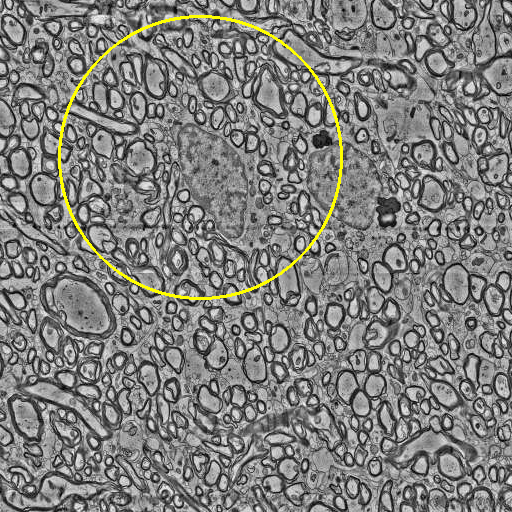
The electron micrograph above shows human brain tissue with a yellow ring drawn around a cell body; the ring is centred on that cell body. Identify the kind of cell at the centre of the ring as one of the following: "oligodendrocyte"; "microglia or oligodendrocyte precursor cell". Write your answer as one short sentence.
The cell at the centre of the ring is an oligodendrocyte.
